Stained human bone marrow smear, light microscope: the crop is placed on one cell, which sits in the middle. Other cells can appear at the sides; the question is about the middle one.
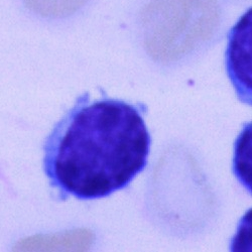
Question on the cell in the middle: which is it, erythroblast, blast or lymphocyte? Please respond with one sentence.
Classification of the middle cell gives a lymphocyte.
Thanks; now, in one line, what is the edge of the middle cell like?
The cell membrane follows an uneven contour, either ragged or bearing projections.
